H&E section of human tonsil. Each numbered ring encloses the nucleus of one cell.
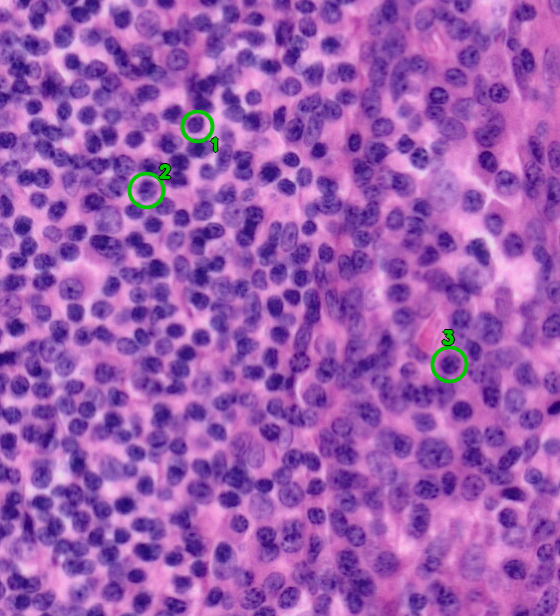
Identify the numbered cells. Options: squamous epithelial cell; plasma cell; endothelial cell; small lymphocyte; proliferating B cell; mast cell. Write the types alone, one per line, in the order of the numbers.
small lymphocyte
small lymphocyte
plasma cell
